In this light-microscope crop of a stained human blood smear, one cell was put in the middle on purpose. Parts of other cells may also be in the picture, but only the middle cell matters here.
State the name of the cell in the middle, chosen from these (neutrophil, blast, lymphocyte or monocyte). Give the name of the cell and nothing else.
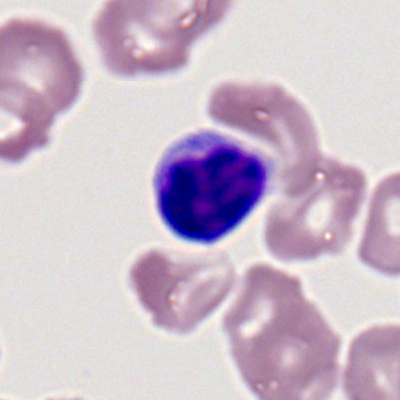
lymphocyte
